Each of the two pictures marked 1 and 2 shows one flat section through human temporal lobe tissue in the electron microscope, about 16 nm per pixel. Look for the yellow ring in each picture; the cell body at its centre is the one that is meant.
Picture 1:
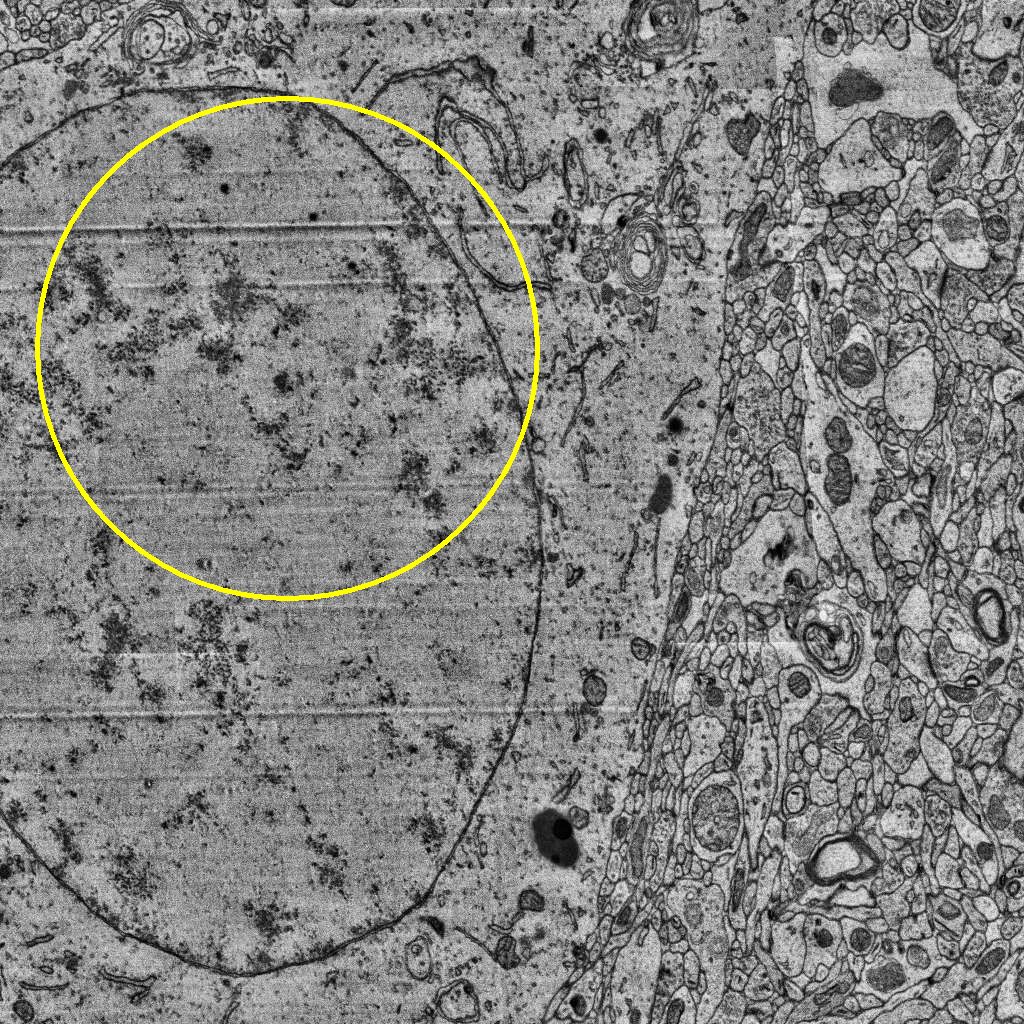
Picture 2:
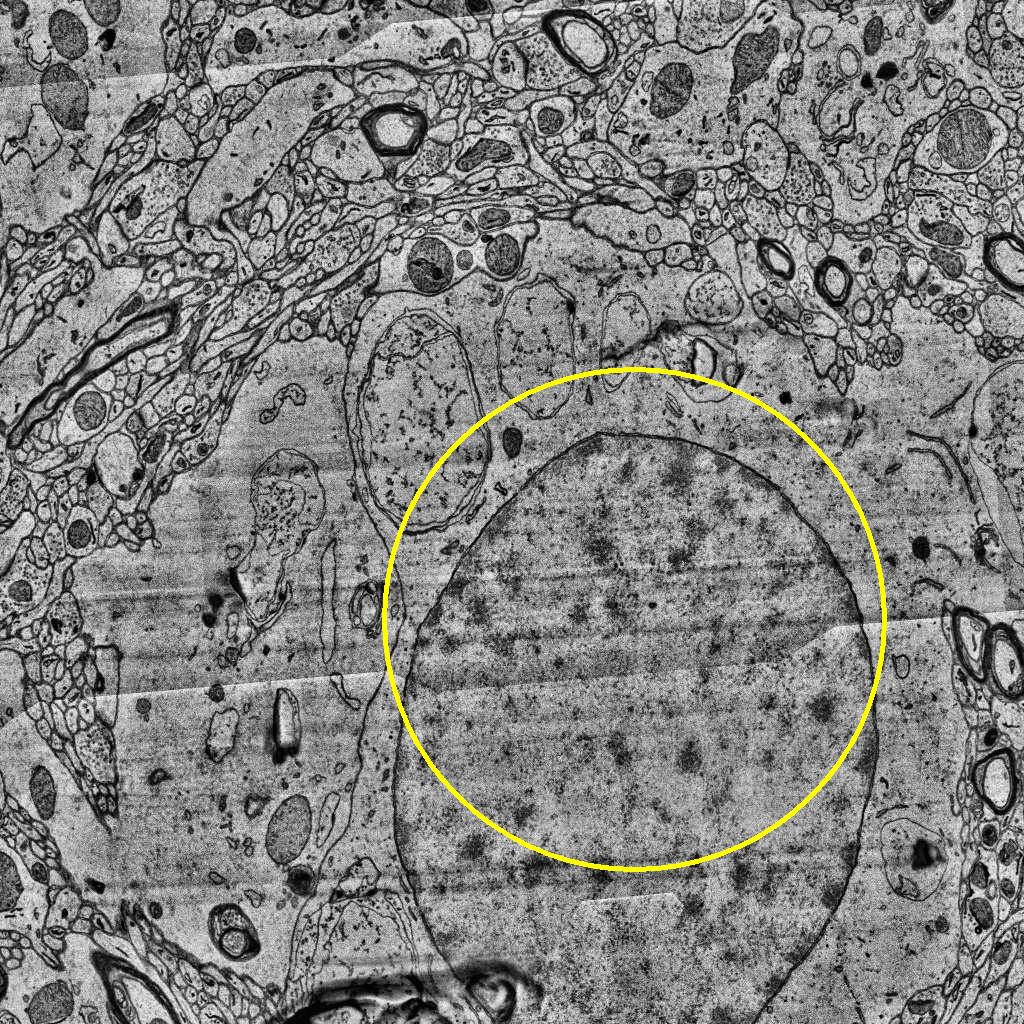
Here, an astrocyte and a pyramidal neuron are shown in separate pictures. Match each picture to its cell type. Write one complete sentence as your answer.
Picture 1 shows a pyramidal neuron and picture 2 shows an astrocyte.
